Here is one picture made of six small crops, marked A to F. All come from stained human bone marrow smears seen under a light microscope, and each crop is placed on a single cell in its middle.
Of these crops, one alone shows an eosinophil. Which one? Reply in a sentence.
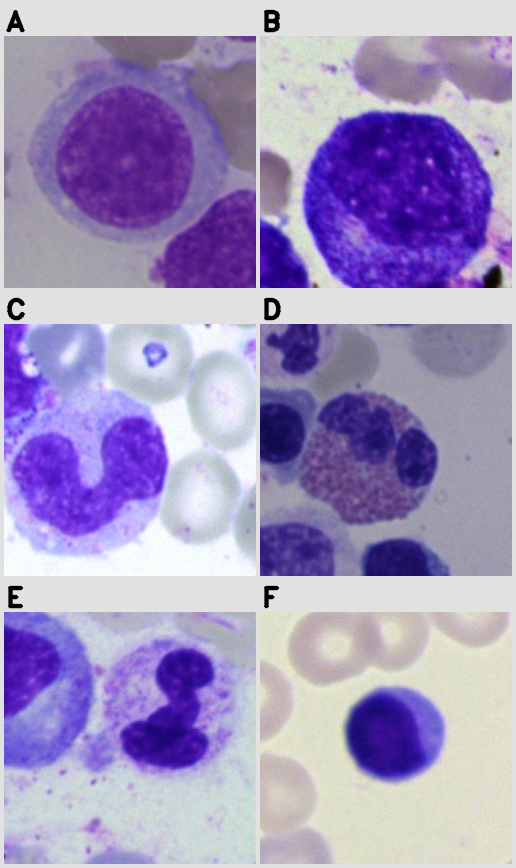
It is the cell in crop D that is an eosinophil.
